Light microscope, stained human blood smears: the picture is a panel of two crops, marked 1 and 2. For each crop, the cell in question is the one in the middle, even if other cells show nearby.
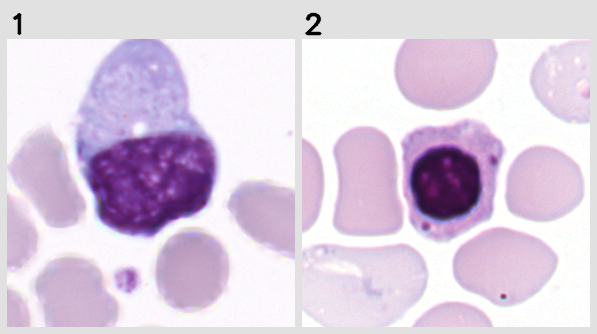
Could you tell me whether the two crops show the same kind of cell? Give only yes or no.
no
